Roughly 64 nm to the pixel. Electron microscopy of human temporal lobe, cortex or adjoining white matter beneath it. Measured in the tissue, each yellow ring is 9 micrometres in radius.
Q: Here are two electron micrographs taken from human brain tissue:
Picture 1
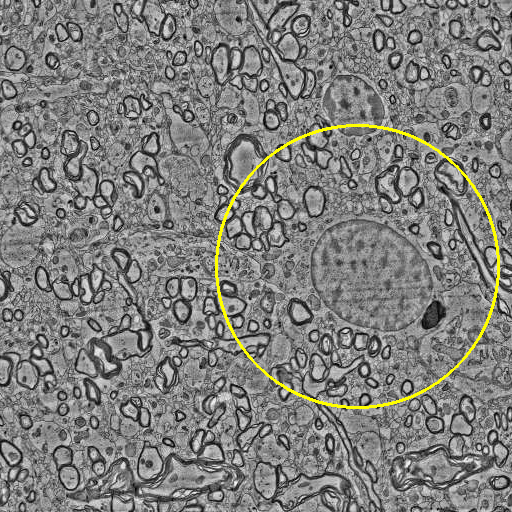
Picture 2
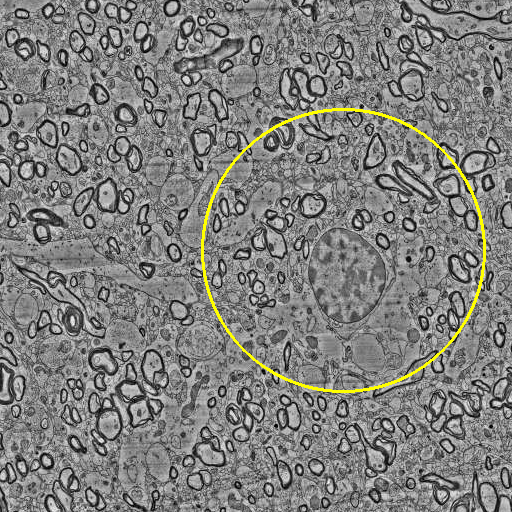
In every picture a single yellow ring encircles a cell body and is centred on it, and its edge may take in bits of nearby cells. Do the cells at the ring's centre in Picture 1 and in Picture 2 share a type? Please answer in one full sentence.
No, the cells at the ring's centre in Picture 1 and Picture 2 are of two types.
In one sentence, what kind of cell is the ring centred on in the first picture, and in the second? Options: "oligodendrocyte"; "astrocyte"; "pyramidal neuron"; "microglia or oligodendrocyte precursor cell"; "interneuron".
The cell at the centre of the second ring is a microglial cell or oligodendrocyte precursor cell; the first ring's cell is an oligodendrocyte.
